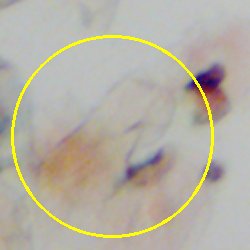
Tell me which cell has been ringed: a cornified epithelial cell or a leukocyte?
It is a cornified epithelial cell.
